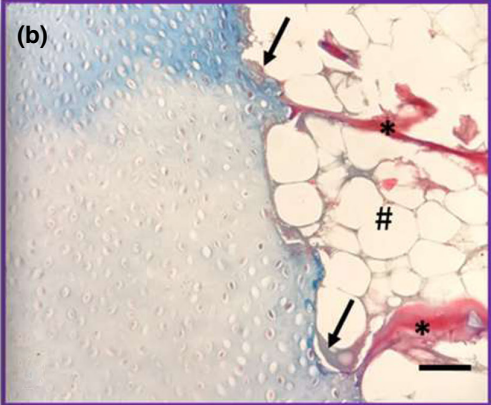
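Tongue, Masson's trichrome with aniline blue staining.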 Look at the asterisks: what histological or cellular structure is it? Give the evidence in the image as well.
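Thin, bright red strands lying among fat cells. Strands stain red unlike the blue cartilage beside them.
Bone trabecula.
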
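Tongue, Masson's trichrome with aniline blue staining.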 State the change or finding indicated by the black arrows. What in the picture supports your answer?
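Arrows point to the edge of the pale cartilage where it meets fat and red-stained strands. The cartilage border is irregular and more darkly stained at the arrows. So: ossification process of the cartilage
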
